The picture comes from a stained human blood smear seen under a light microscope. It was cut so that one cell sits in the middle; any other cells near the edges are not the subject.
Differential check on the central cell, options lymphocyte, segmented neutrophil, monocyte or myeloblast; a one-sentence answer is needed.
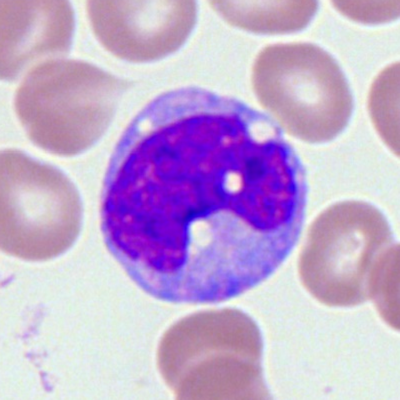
The cell found in the middle of this crop is a monocyte.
